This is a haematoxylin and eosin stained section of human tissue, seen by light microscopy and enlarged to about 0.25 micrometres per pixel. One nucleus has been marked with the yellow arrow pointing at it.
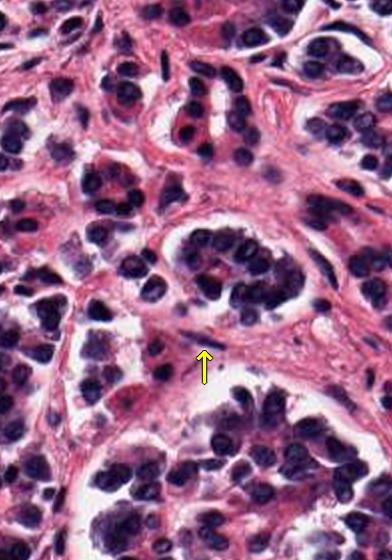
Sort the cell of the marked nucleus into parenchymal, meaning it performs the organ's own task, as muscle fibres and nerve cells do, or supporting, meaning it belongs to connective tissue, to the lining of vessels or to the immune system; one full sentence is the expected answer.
The marked nucleus is contained in a supporting cell.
